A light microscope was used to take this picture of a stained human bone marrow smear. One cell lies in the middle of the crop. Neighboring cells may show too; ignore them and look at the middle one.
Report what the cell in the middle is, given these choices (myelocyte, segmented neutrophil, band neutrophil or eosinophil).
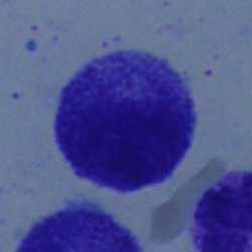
myelocyte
